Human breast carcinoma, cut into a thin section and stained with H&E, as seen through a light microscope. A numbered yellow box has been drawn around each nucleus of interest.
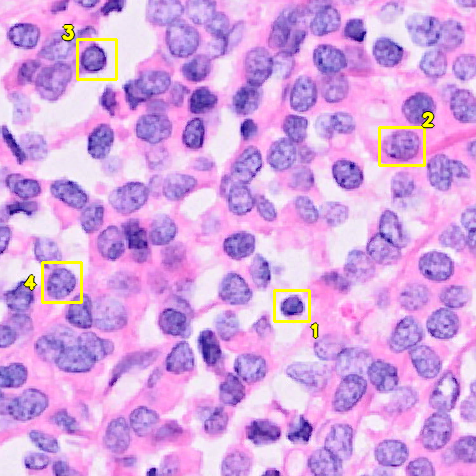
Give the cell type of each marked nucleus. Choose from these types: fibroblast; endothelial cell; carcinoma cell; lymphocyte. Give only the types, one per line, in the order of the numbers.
lymphocyte
carcinoma cell
carcinoma cell
carcinoma cell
